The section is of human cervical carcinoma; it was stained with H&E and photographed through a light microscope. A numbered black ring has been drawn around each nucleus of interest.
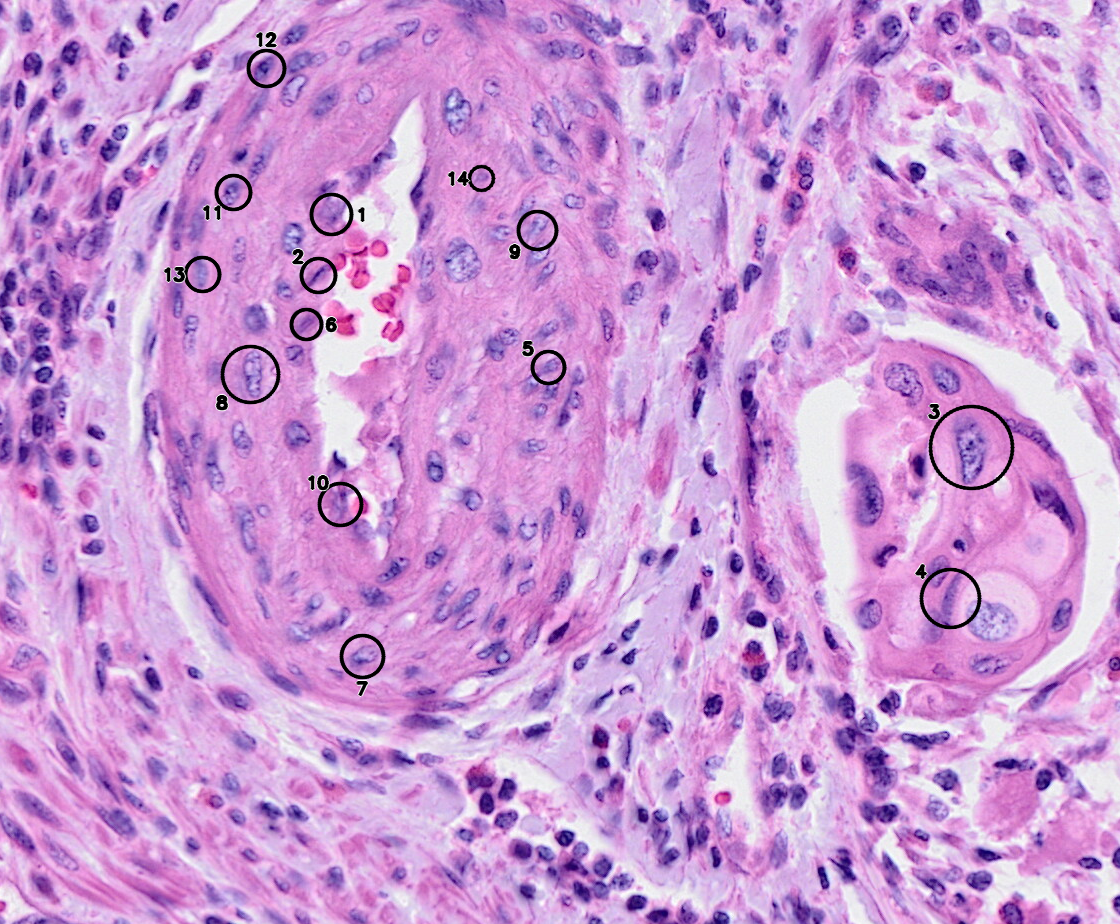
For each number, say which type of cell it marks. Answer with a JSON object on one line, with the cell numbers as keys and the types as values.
{"1": "endothelial cell", "2": "endothelial cell", "3": "squamous carcinoma cell", "4": "squamous carcinoma cell", "5": "smooth muscle cell", "6": "endothelial cell", "7": "smooth muscle cell", "8": "smooth muscle cell", "9": "smooth muscle cell", "10": "endothelial cell", "11": "smooth muscle cell", "12": "smooth muscle cell", "13": "smooth muscle cell", "14": "smooth muscle cell"}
